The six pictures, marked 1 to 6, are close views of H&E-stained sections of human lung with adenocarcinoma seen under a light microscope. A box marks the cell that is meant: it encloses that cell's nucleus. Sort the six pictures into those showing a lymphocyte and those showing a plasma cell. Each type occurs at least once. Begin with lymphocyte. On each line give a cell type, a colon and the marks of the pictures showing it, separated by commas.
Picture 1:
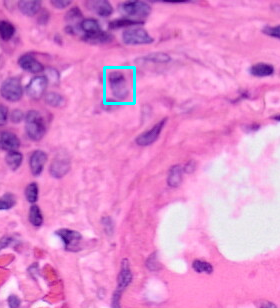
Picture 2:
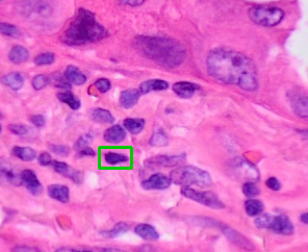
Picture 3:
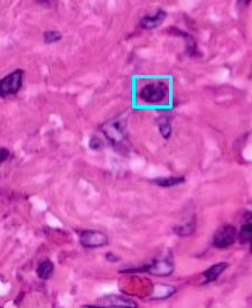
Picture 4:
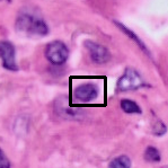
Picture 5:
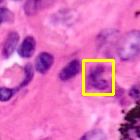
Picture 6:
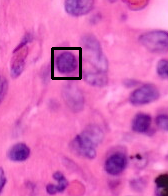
lymphocyte: 2, 4
plasma cell: 1, 3, 5, 6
